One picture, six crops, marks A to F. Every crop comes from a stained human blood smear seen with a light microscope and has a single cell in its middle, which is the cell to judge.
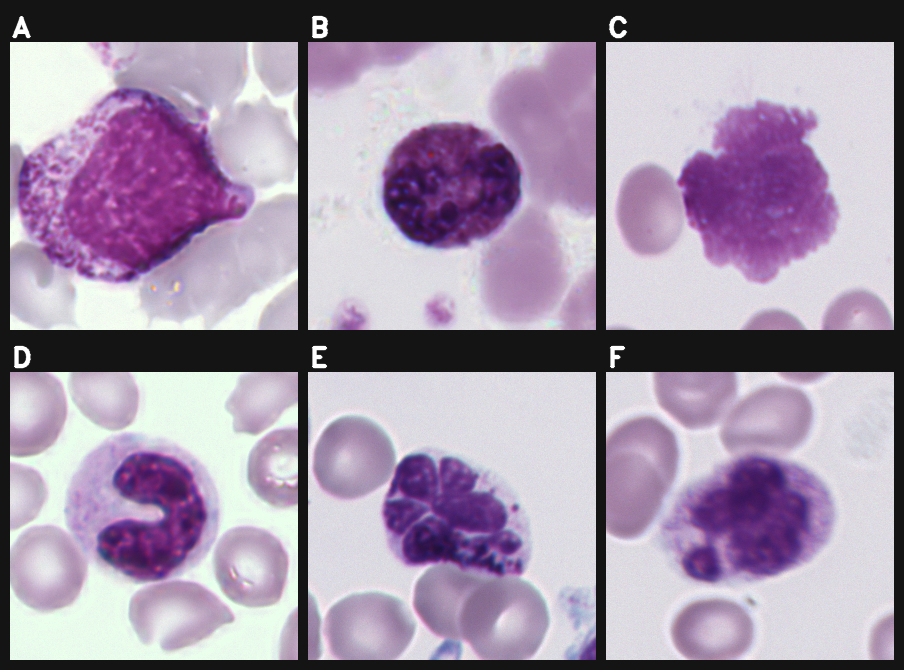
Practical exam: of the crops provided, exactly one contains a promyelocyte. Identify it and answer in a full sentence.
Within this set, crop A is the one with a promyelocyte at its center.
